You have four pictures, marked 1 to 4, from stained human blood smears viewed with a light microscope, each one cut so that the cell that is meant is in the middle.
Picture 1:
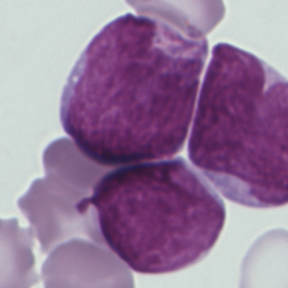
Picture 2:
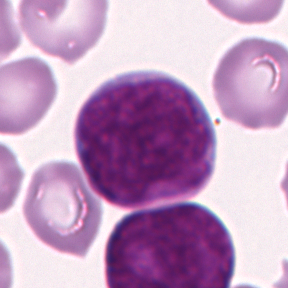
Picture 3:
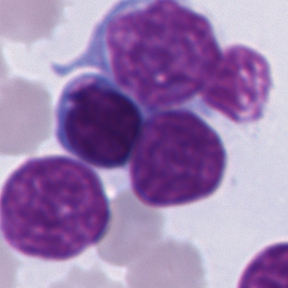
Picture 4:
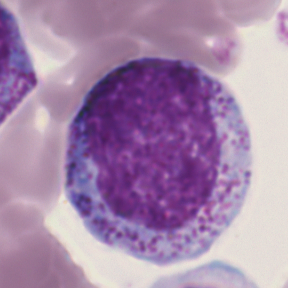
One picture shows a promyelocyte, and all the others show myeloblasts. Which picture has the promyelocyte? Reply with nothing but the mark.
4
